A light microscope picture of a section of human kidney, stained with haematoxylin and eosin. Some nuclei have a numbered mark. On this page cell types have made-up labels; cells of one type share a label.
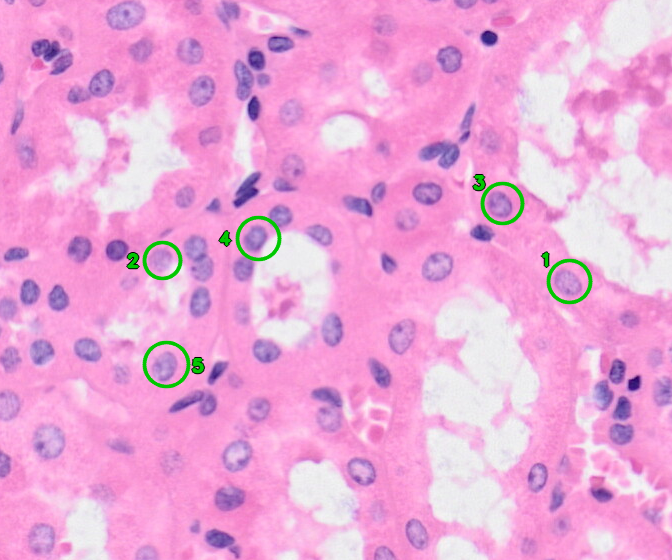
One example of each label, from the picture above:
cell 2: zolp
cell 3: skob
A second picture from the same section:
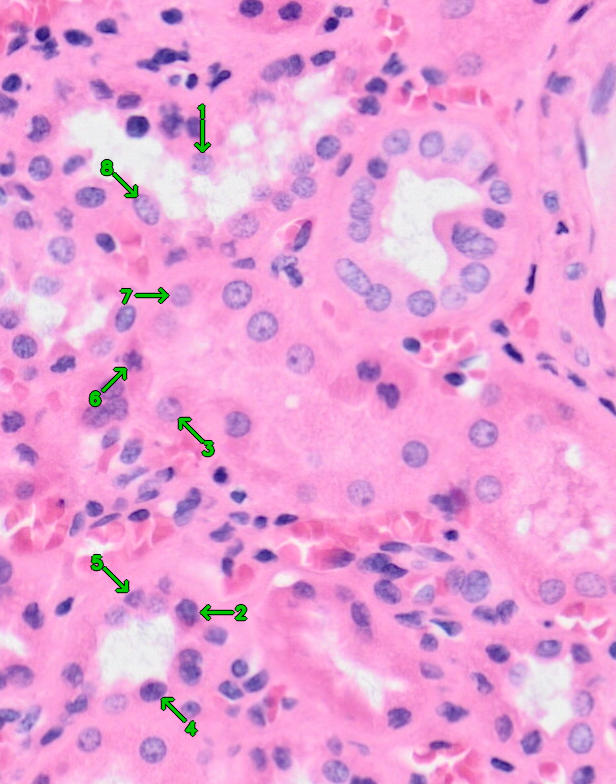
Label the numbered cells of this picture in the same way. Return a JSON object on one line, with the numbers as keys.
{"1": "zolp", "2": "zolp", "3": "skob", "4": "zolp", "5": "zolp", "6": "skob", "7": "skob", "8": "zolp"}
